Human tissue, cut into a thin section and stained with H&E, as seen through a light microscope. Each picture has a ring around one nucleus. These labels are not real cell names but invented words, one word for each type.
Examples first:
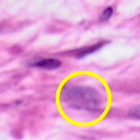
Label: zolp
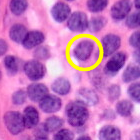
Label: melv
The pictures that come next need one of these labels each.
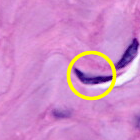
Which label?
zolp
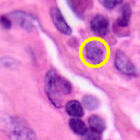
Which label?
melv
